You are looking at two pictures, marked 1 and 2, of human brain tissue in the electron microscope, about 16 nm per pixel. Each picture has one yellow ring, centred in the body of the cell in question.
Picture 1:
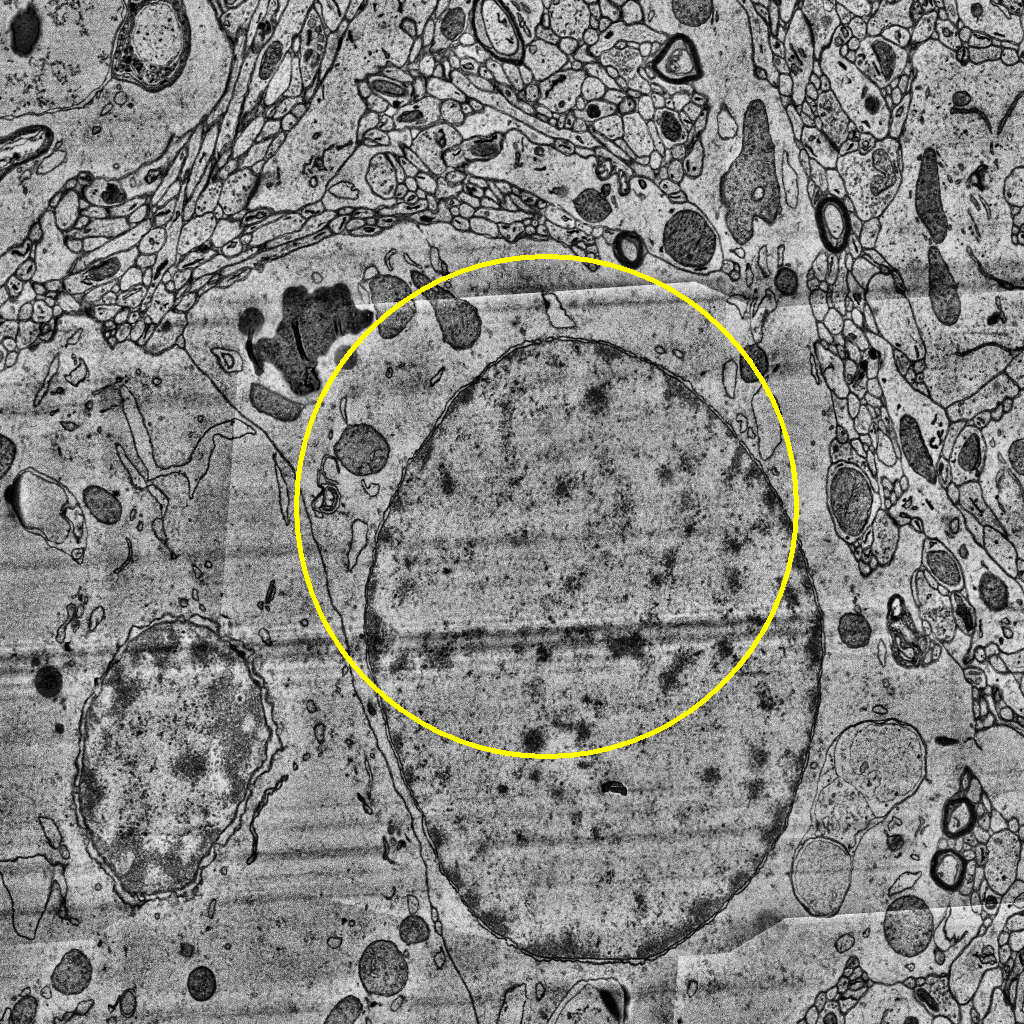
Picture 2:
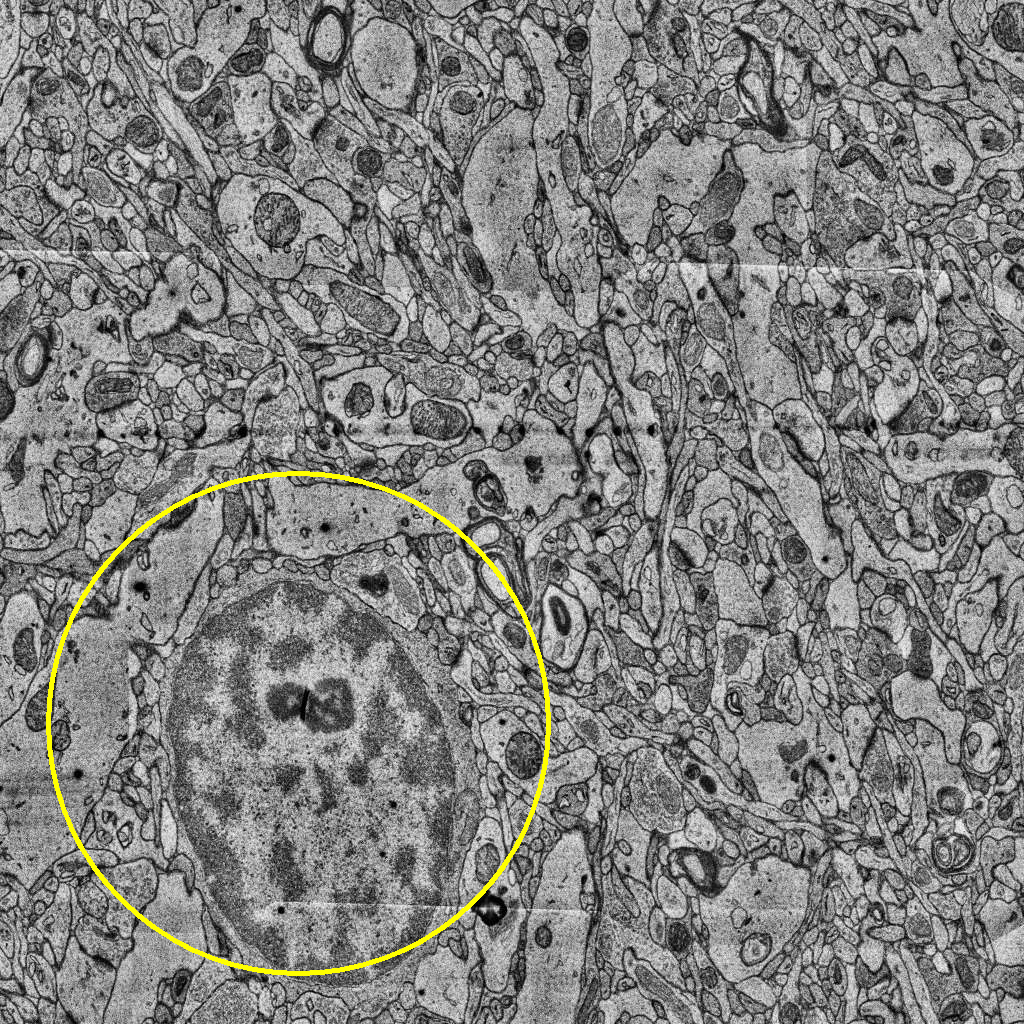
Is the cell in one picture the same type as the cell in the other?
No; the cell in picture 1 is an astrocyte, while the one in picture 2 is an oligodendrocyte.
